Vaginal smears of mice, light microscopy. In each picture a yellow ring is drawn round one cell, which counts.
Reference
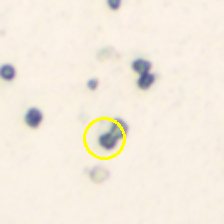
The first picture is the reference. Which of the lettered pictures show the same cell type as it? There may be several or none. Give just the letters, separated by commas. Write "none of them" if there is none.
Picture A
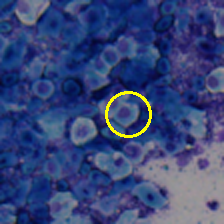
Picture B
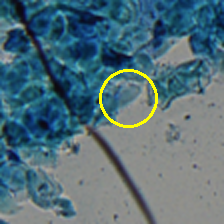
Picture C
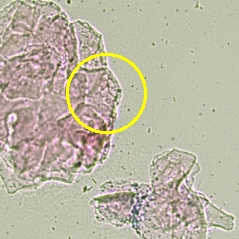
none of them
